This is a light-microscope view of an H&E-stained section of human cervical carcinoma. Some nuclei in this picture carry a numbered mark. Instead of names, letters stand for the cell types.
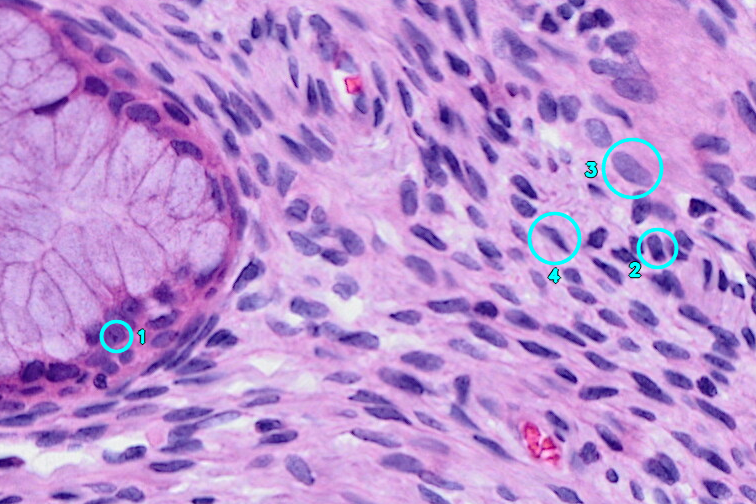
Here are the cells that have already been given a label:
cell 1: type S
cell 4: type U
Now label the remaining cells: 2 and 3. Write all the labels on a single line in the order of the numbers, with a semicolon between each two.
type U; type U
